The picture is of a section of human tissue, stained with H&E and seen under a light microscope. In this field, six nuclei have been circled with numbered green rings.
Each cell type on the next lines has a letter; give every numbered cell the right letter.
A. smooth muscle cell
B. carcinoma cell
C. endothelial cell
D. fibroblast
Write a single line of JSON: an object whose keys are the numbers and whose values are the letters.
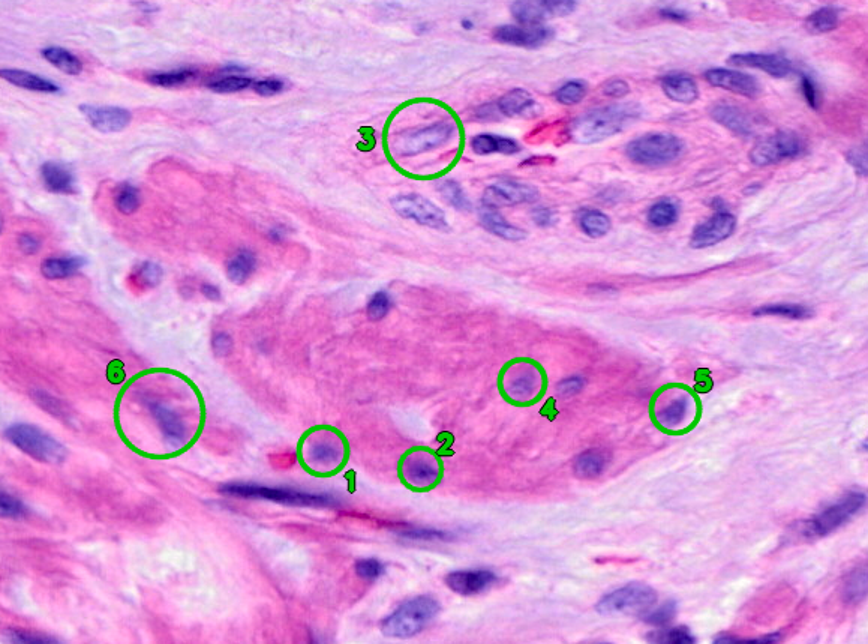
{"1": "C", "2": "A", "3": "C", "4": "A", "5": "A", "6": "A"}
